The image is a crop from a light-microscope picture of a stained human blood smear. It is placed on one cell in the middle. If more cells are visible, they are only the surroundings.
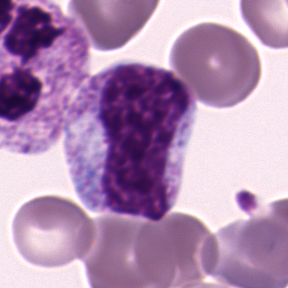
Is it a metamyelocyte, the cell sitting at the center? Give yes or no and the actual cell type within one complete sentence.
Yes, the cell at the very centre of the crop is a metamyelocyte.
